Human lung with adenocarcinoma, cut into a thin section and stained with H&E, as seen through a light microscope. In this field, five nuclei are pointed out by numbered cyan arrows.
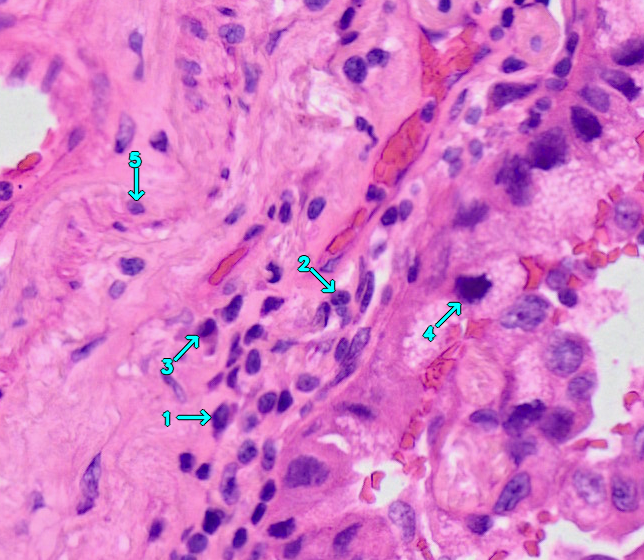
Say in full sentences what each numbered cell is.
Cell 1 is a plasma cell, cell 2 is a lymphocyte, cell 3 is a plasma cell, cell 4 is a carcinoma cell and cell 5 is a smooth muscle cell or pericyte.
